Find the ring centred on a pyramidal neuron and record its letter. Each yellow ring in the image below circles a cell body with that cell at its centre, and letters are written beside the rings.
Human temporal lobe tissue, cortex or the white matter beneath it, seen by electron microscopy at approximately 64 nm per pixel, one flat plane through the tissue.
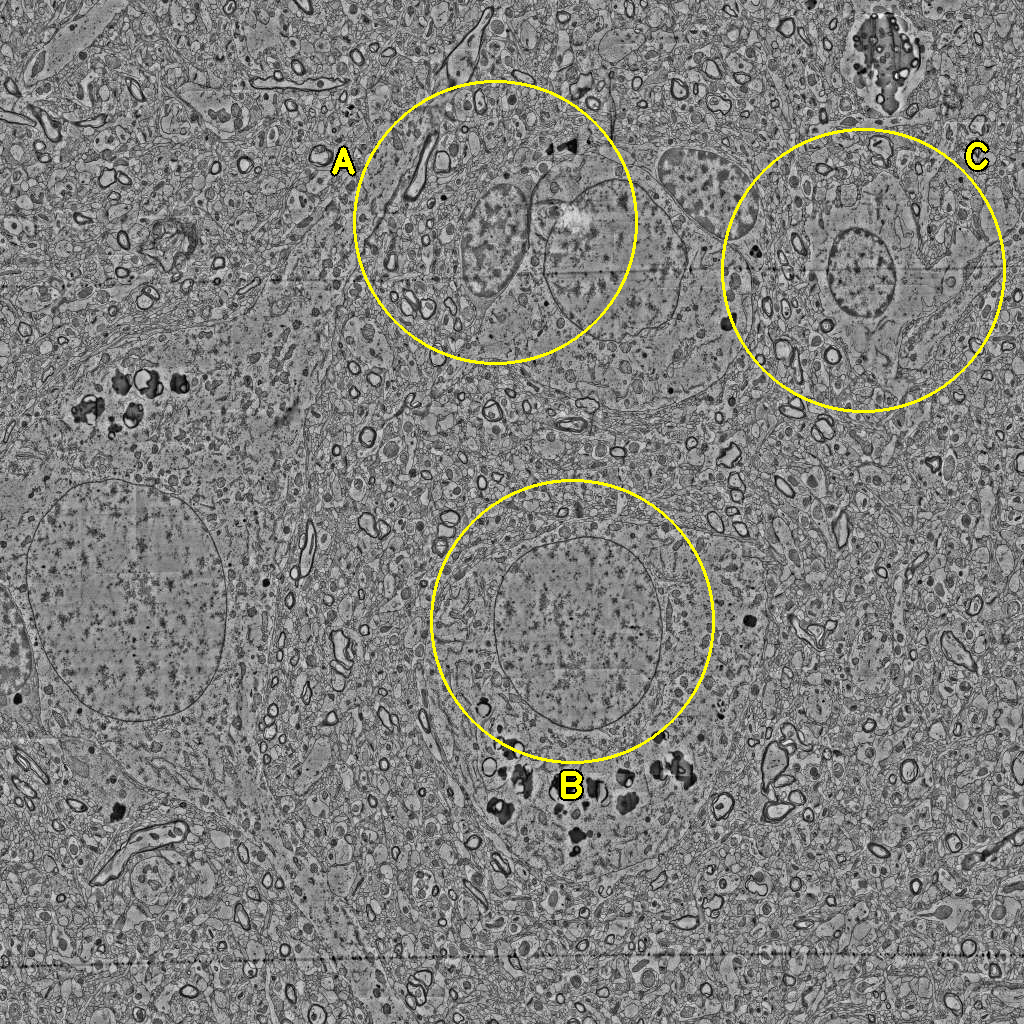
B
